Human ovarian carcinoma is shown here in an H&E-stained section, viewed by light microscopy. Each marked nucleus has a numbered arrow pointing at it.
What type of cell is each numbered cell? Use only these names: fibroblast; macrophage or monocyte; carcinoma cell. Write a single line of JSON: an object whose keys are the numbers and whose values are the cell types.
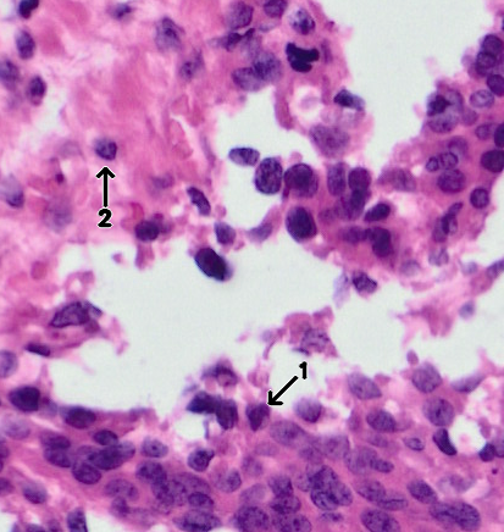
{"1": "carcinoma cell", "2": "macrophage or monocyte"}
